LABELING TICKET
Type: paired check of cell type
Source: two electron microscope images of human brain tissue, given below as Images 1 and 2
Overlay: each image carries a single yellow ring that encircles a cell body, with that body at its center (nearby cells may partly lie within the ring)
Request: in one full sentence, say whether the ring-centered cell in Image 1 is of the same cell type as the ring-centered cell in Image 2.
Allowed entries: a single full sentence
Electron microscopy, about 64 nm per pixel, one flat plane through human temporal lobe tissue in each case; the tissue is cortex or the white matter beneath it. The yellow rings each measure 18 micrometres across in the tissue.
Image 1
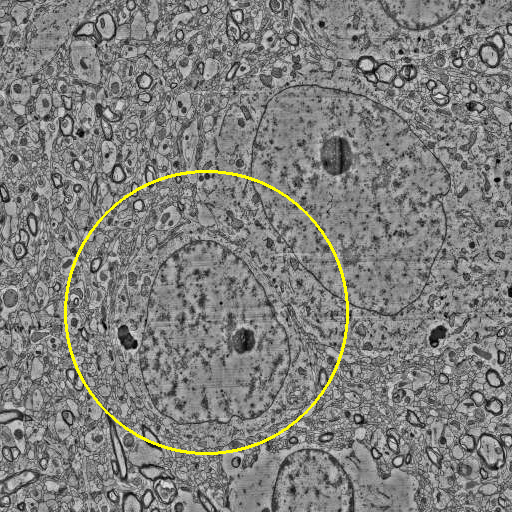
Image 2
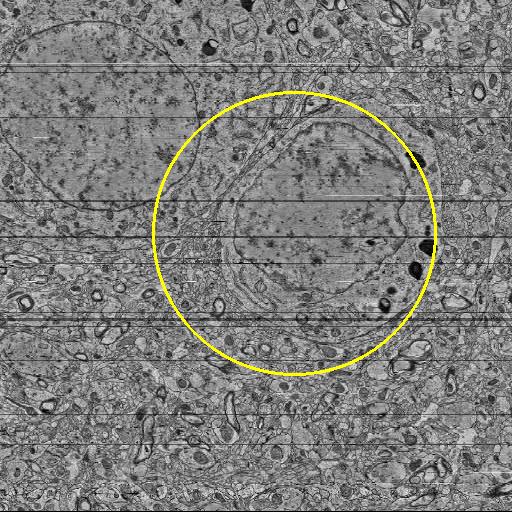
Yes, the cells centered in the rings of Image 1 and Image 2 share one type.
